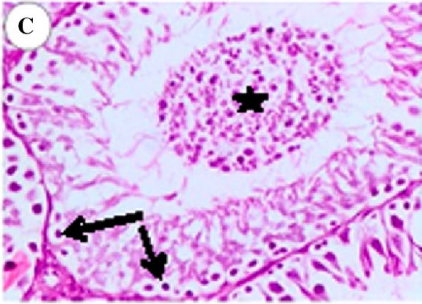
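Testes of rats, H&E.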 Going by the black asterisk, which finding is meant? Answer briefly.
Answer: Exfoliation of necrotic spermatogenic cells into the lumen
